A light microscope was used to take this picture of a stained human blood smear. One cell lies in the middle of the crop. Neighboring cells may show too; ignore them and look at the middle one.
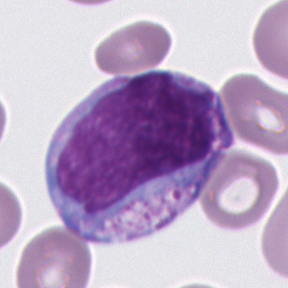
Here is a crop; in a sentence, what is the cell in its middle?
For this crop, the cell in the middle is an atypical promyelocyte.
